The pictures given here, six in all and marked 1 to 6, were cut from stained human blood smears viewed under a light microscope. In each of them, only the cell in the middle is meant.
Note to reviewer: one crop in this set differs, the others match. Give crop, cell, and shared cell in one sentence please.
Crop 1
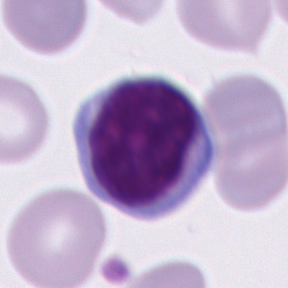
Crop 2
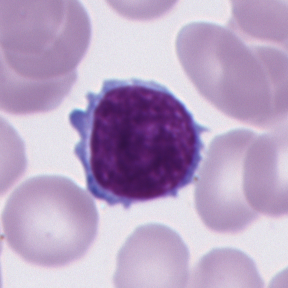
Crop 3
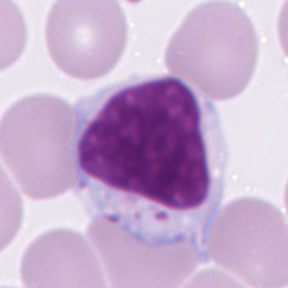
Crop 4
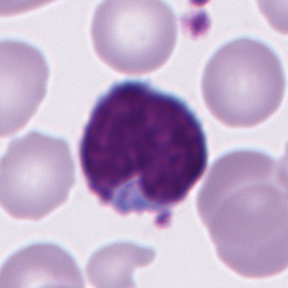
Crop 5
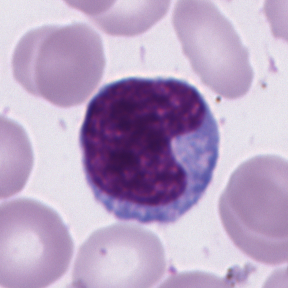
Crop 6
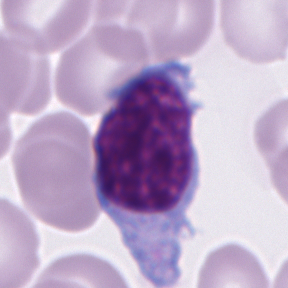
There is a large granular lymphocyte in crop 3, while all the other crops show typical lymphocytes.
